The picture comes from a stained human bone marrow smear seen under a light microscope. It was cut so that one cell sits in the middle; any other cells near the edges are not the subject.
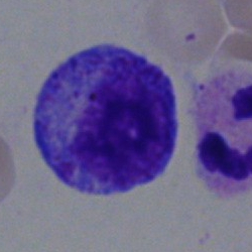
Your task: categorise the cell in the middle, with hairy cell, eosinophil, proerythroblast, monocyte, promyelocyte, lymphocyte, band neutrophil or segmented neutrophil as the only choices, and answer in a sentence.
On this slide crop, the central cell is a promyelocyte.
